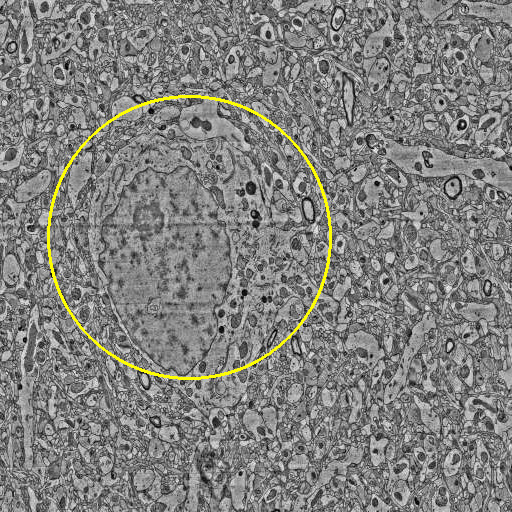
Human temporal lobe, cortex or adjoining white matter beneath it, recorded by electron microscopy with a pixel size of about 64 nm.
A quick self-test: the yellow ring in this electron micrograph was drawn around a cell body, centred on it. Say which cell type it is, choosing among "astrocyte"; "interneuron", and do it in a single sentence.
The yellow-ringed cell is an interneuron.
